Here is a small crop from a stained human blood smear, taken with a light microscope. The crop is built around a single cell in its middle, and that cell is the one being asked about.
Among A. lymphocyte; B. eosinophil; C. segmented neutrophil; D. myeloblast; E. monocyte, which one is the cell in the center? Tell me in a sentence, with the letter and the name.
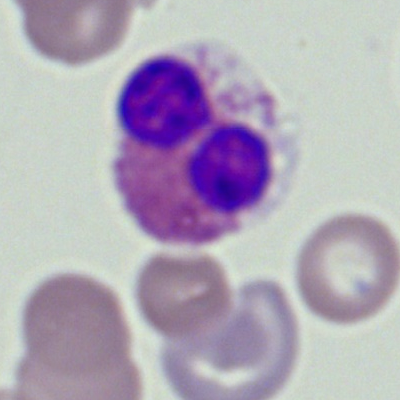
Option B is the correct one; it names the central cell as an eosinophil.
